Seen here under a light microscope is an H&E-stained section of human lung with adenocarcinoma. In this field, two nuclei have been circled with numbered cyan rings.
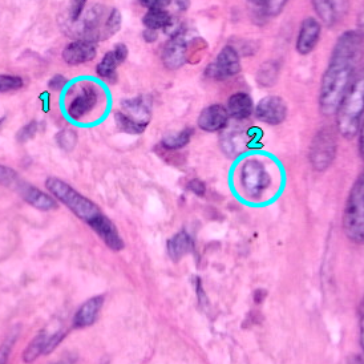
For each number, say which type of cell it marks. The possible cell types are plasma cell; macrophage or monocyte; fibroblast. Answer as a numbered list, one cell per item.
1. plasma cell
2. fibroblast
